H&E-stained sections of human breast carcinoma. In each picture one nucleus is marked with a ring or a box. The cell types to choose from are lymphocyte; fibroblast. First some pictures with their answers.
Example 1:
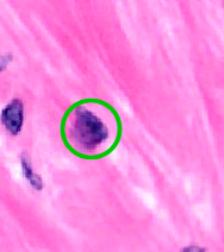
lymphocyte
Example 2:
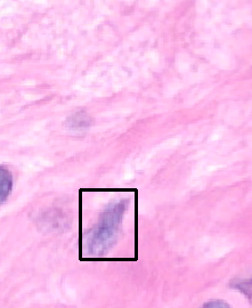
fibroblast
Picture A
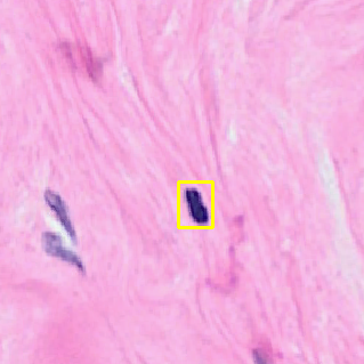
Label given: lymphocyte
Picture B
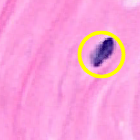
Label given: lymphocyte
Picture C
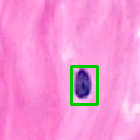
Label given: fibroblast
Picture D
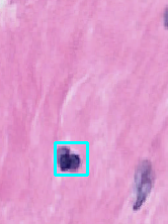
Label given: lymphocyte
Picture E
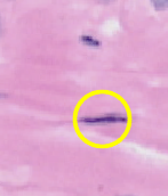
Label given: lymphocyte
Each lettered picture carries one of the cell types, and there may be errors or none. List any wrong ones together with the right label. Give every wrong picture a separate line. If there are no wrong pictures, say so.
C: lymphocyte, not fibroblast
E: fibroblast, not lymphocyte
